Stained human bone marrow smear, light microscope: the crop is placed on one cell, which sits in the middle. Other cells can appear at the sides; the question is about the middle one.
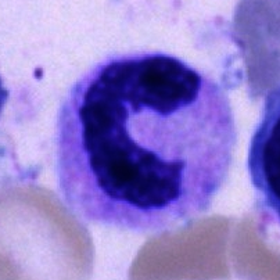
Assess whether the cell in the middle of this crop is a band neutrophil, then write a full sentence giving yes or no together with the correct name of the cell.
Yes, the cell at the middle of the field is to be classed as a band neutrophil.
